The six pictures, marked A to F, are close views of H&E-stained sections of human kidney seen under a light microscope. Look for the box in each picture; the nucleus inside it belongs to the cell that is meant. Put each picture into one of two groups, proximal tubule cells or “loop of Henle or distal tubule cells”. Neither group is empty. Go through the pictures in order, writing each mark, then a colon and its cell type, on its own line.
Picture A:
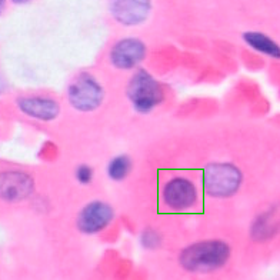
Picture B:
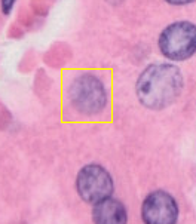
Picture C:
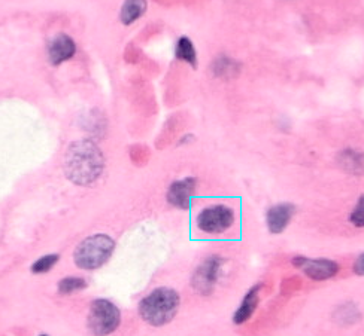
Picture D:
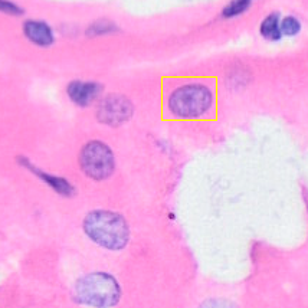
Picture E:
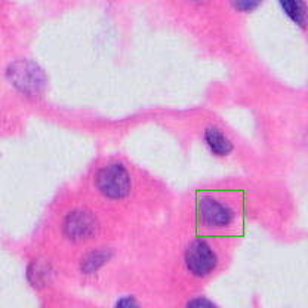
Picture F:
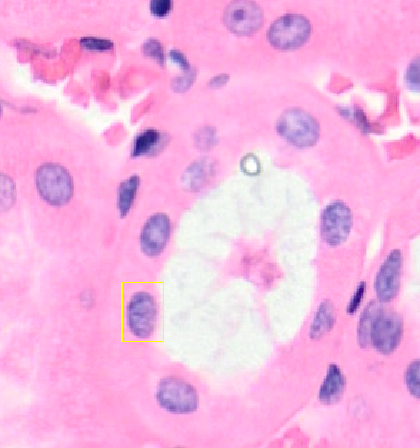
A: proximal tubule cell
B: proximal tubule cell
C: loop of Henle or distal tubule cell
D: proximal tubule cell
E: loop of Henle or distal tubule cell
F: loop of Henle or distal tubule cell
